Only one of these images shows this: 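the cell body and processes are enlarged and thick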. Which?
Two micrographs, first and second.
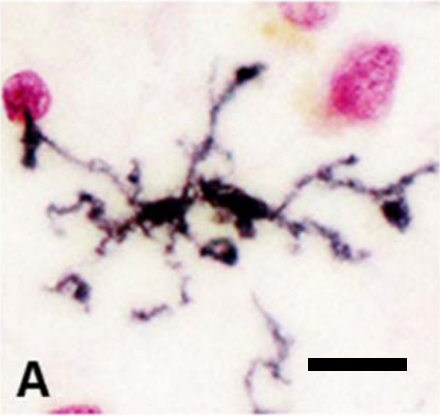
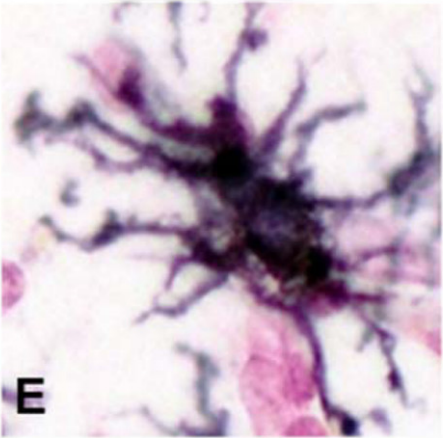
The second image.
